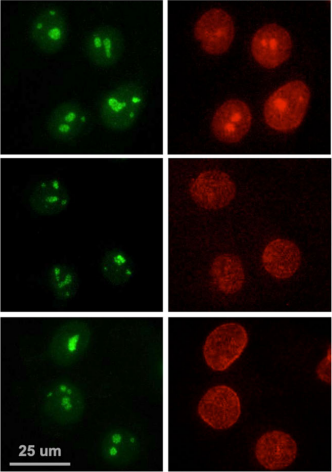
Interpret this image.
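The green picks out compact, irregular bright clumps inside each nucleus. These are the nucleoli, and most nuclei hold one to a few of them. The red fills the rounded to oval nuclei more or less evenly, with a slightly brighter rim at the nuclear edge. The cytoplasm around the nuclei stays dark. In the lower rows the red stays even, and the nucleoli do not stand out in it.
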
